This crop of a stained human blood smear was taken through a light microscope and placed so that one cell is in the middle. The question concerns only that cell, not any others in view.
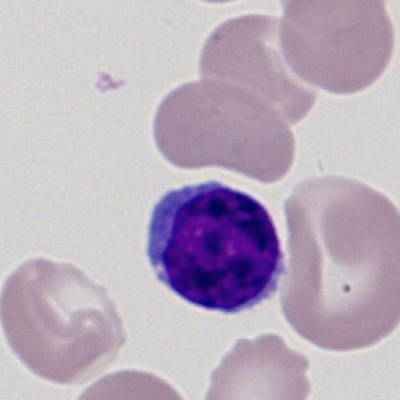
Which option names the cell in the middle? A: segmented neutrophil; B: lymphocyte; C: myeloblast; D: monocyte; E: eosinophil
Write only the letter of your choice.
B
